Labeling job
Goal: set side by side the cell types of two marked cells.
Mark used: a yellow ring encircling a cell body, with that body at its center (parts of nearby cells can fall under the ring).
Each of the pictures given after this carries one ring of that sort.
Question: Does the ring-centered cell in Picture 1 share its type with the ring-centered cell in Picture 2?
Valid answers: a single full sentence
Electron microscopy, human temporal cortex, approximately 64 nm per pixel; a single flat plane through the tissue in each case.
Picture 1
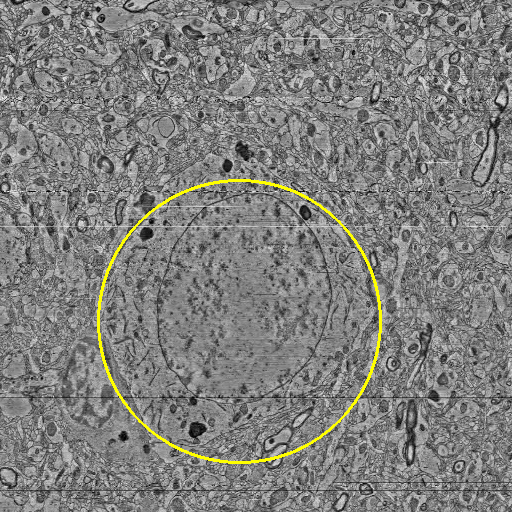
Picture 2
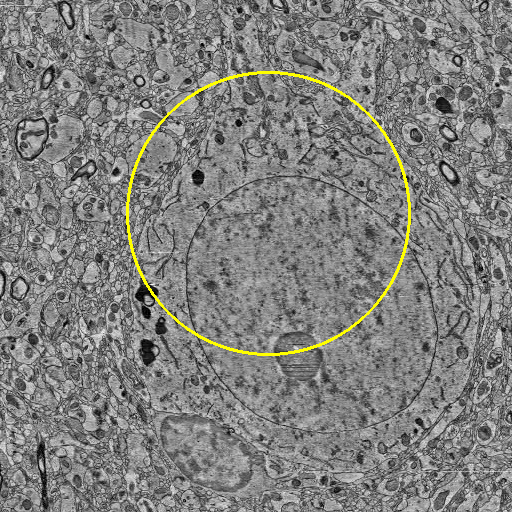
Yes, in Pictures 1 and 2 the cells at the ring centers share one type.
